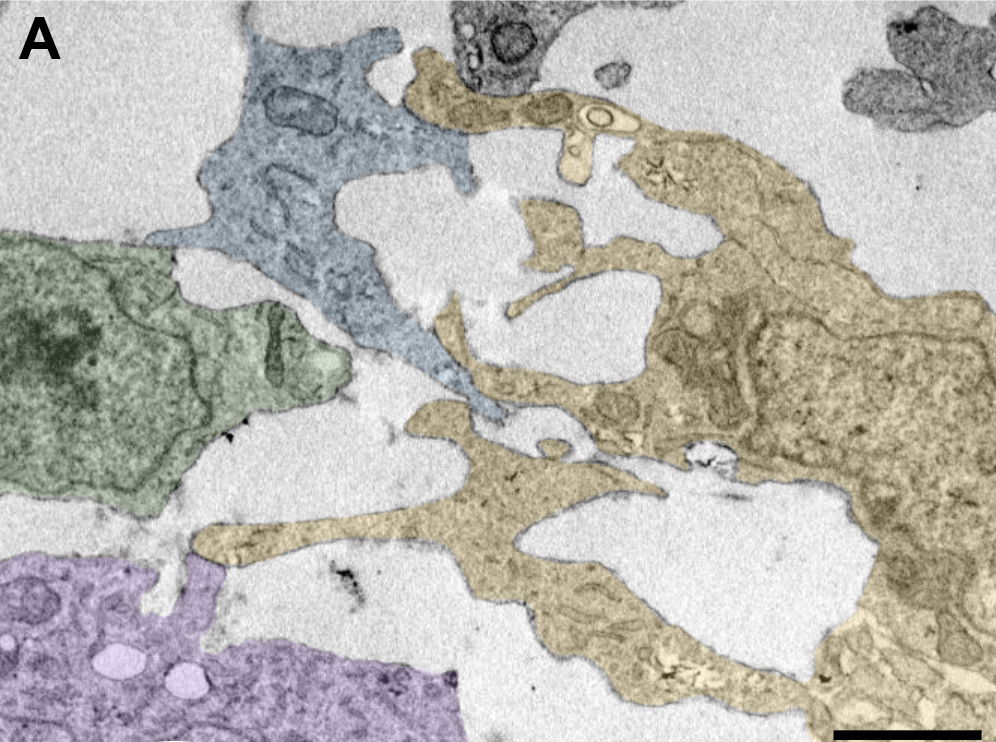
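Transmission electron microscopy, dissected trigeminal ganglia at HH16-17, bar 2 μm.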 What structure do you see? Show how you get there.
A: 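Direct cell-to-cell contacts. Several differently tinted cells touch one another along their membranes. Thin cytoplasmic processes of one cell reach and abut neighbouring cells. Pale extracellular spaces separate the cells except where they touch.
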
